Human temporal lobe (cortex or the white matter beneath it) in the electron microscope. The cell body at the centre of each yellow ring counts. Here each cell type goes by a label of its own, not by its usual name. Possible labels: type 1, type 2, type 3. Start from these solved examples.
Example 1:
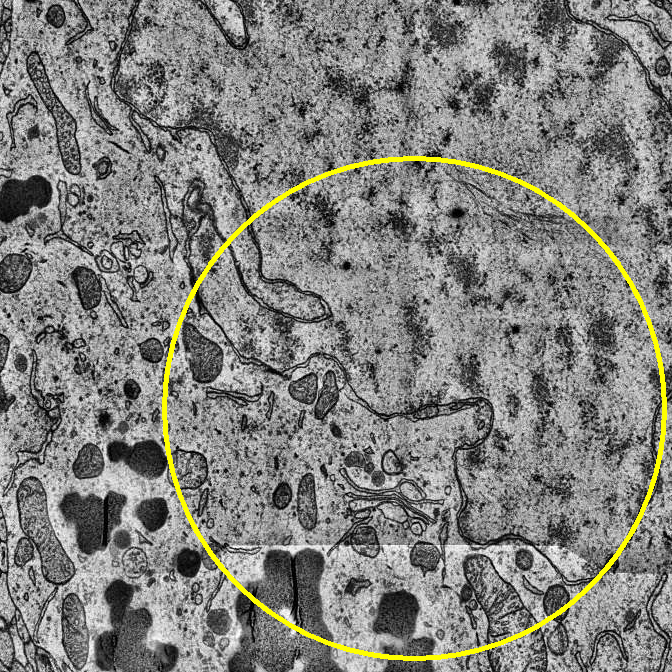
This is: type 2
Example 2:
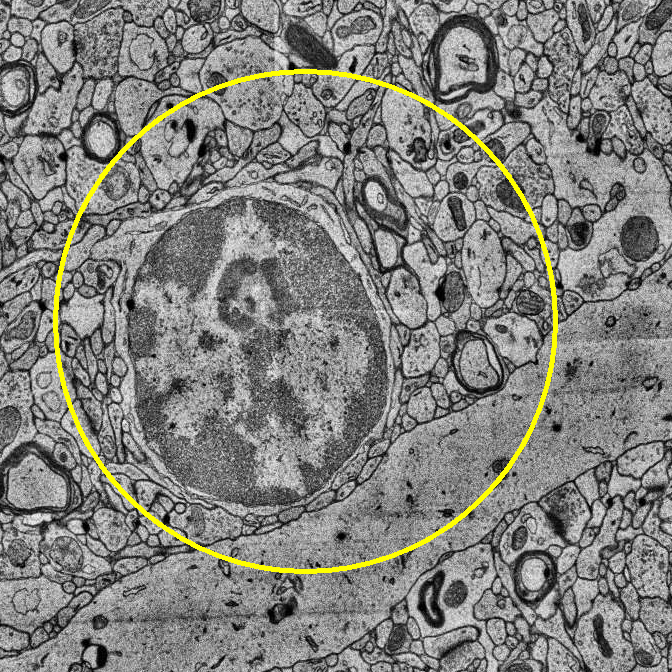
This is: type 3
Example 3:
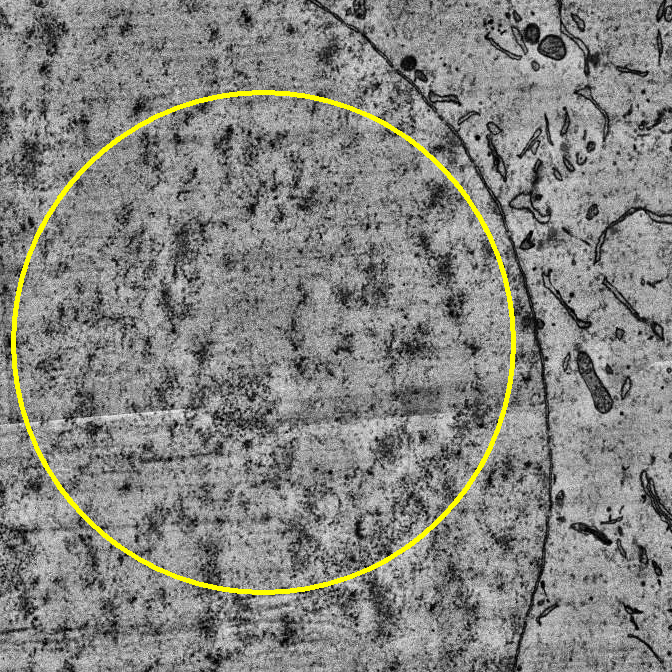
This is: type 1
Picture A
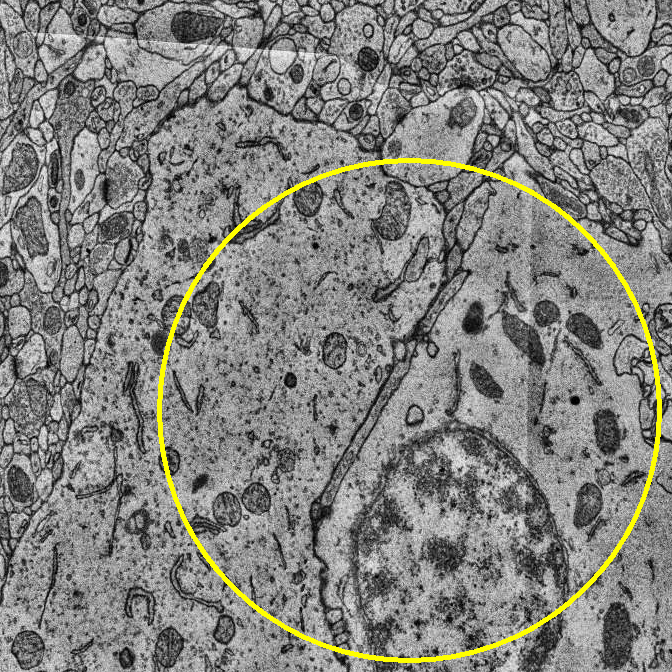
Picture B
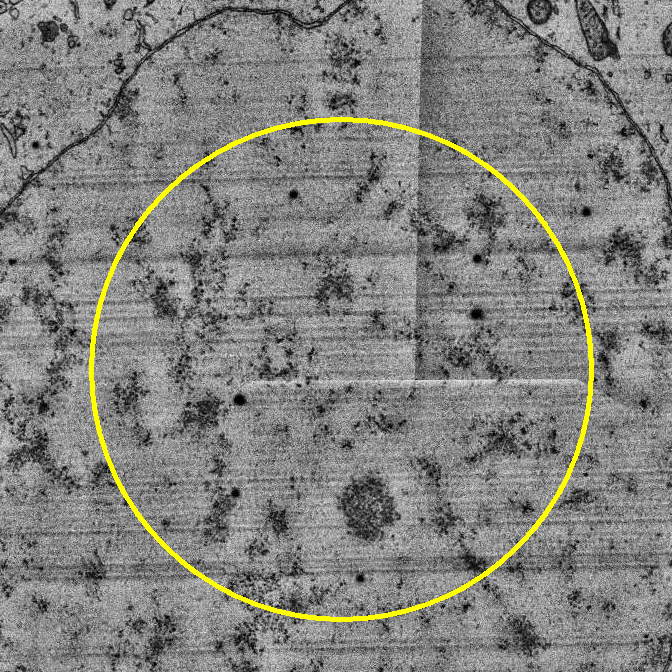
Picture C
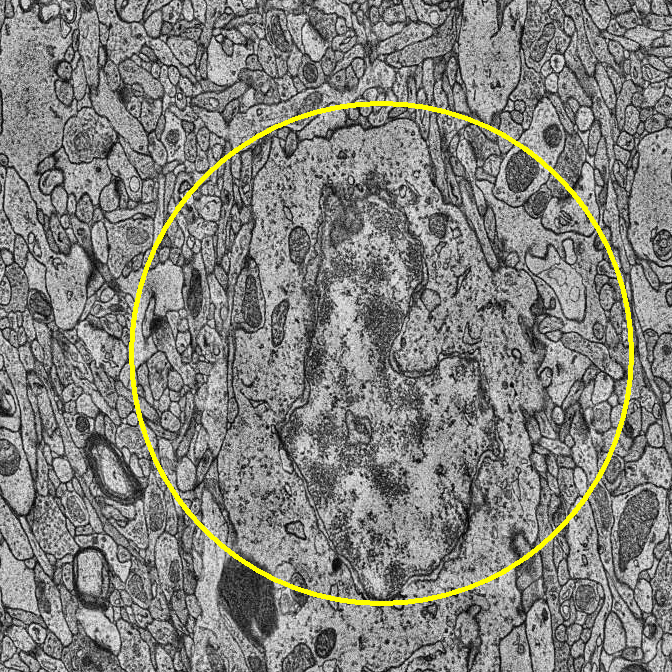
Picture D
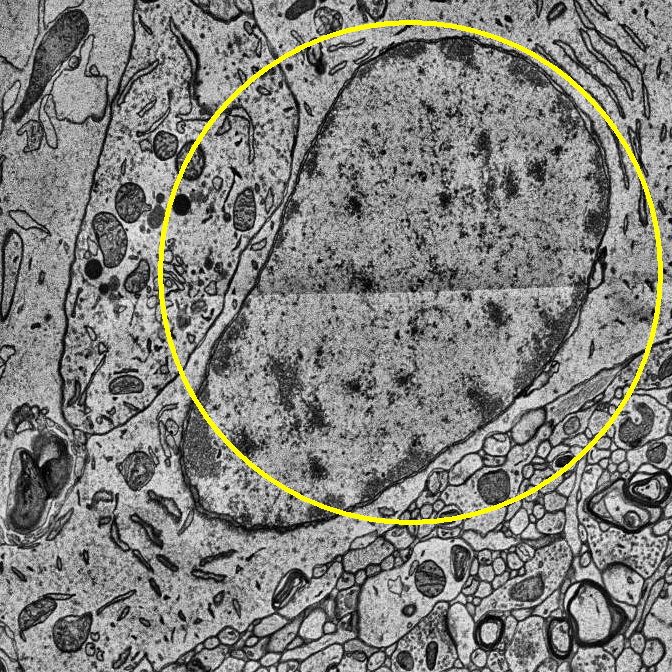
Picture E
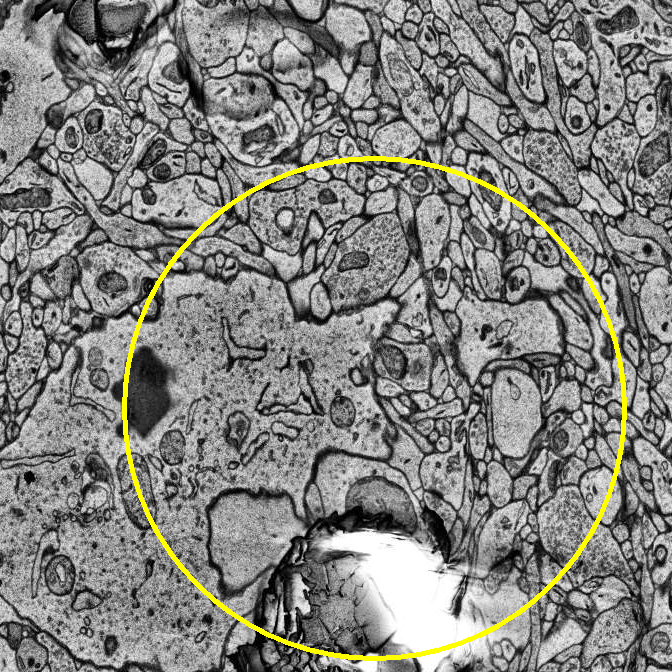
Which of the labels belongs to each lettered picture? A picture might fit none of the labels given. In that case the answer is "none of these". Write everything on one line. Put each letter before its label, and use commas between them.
A none of these, B type 1, C type 2, D type 3, E type 2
